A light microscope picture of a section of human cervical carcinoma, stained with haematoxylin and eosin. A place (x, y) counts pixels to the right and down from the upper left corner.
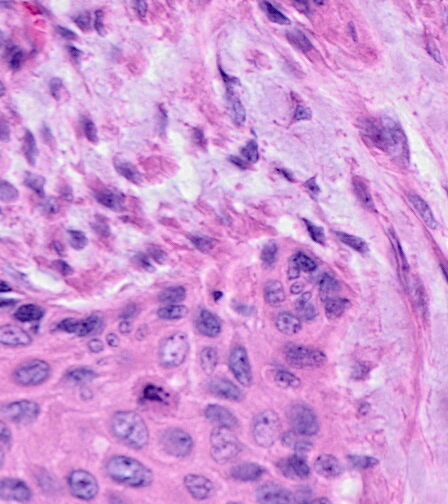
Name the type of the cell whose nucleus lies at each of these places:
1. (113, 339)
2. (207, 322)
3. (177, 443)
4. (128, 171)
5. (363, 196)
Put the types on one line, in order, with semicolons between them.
squamous carcinoma cell; squamous carcinoma cell; squamous carcinoma cell; fibroblast; fibroblast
